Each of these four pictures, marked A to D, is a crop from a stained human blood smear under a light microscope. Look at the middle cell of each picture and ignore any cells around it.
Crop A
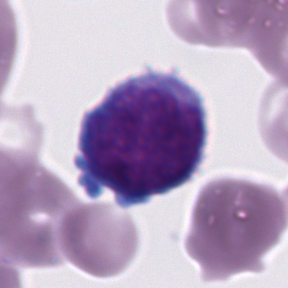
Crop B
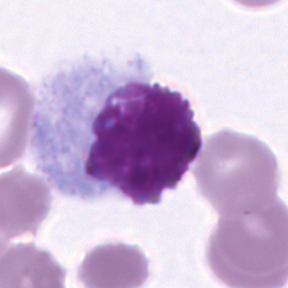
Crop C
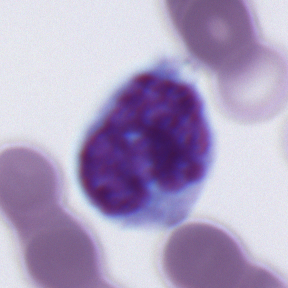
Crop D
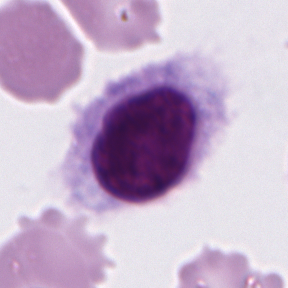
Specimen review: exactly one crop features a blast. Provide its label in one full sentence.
In this set, crop A is the one showing a blast.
